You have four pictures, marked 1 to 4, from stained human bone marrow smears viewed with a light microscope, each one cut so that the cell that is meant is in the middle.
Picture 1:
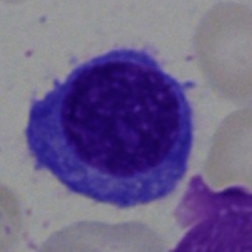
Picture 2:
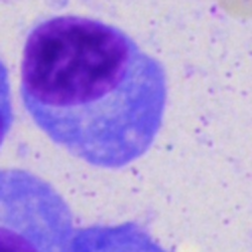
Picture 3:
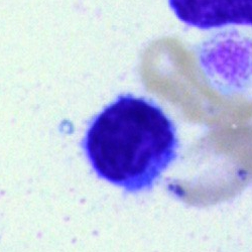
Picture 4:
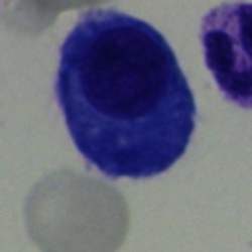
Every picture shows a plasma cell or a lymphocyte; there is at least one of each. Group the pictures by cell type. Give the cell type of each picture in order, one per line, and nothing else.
plasma cell
plasma cell
lymphocyte
plasma cell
